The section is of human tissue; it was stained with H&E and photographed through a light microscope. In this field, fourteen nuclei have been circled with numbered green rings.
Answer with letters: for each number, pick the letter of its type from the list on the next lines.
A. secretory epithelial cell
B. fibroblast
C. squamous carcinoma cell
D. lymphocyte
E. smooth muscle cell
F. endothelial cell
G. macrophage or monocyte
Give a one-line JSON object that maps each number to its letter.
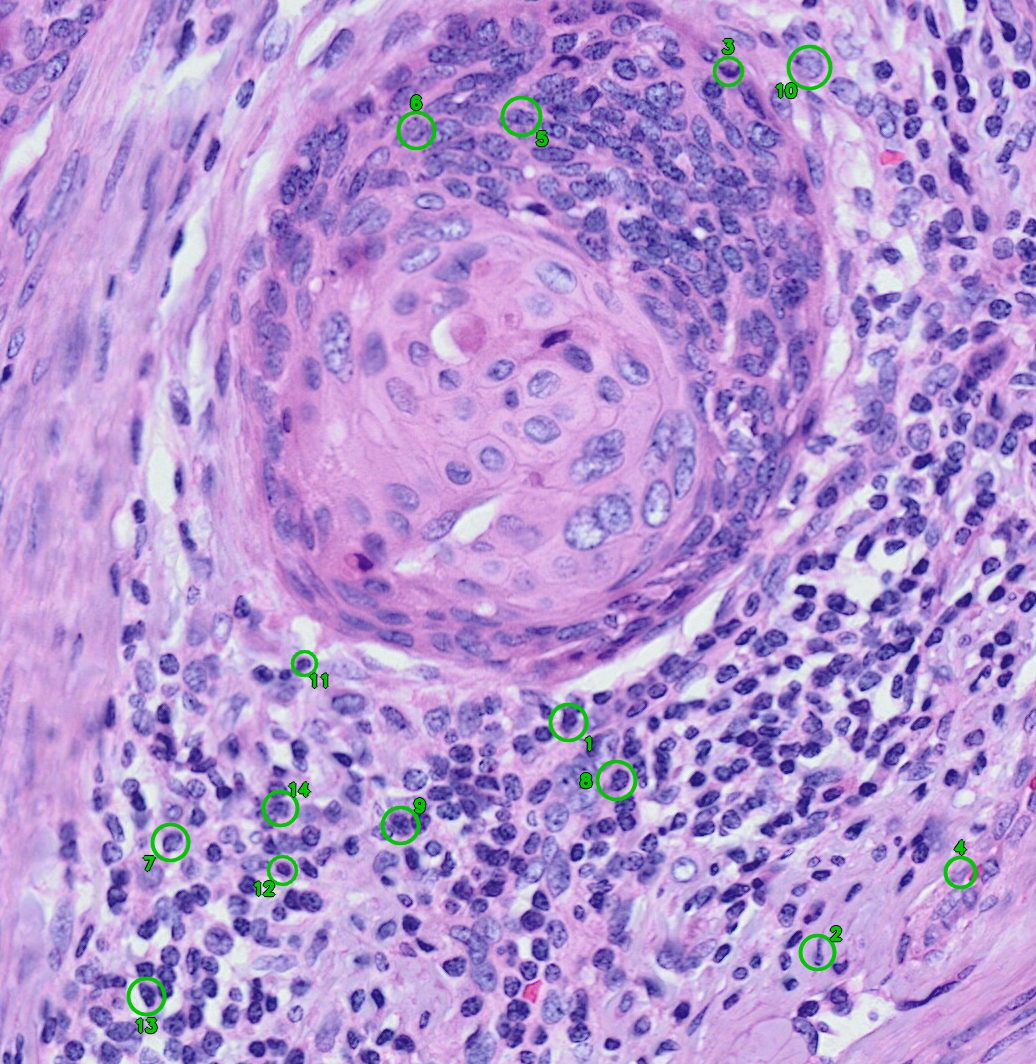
{"1": "D", "2": "B", "3": "C", "4": "F", "5": "C", "6": "C", "7": "D", "8": "D", "9": "D", "10": "F", "11": "D", "12": "D", "13": "D", "14": "D"}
